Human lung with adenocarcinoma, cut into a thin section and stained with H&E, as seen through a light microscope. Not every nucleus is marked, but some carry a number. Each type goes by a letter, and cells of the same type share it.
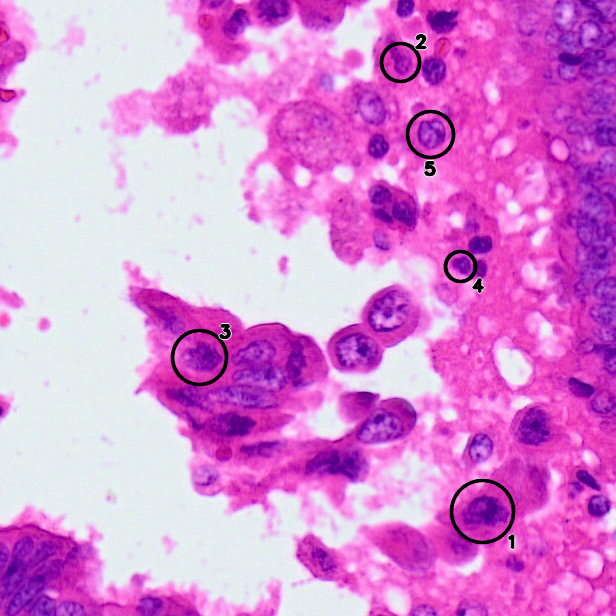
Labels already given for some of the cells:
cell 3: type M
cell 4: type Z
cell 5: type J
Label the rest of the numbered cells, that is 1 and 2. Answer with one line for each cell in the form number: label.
1: type M
2: type J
